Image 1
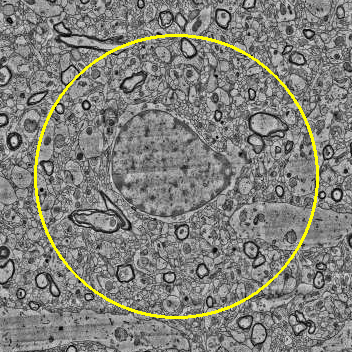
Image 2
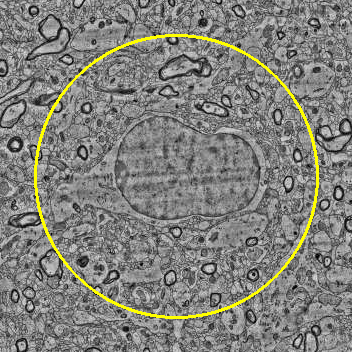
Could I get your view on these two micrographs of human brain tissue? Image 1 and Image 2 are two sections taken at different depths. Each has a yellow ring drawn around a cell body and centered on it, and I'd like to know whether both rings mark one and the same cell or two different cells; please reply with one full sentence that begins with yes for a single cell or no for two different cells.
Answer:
Yes, each ring singles out the same cell.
